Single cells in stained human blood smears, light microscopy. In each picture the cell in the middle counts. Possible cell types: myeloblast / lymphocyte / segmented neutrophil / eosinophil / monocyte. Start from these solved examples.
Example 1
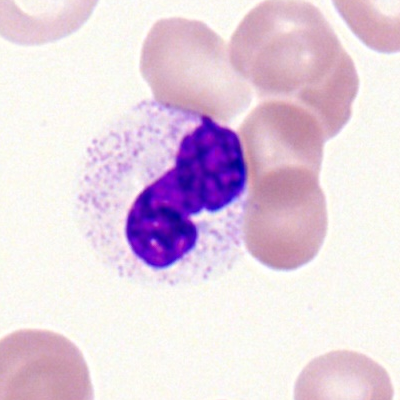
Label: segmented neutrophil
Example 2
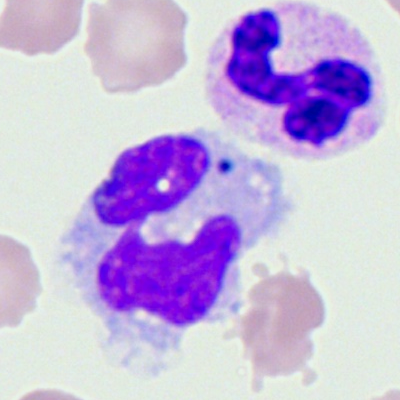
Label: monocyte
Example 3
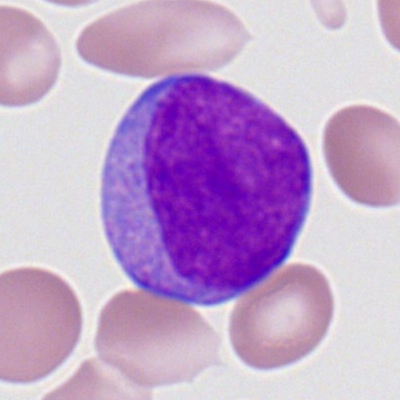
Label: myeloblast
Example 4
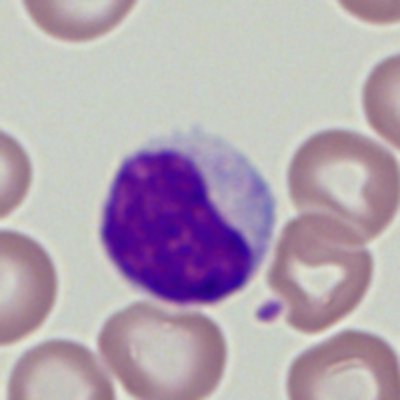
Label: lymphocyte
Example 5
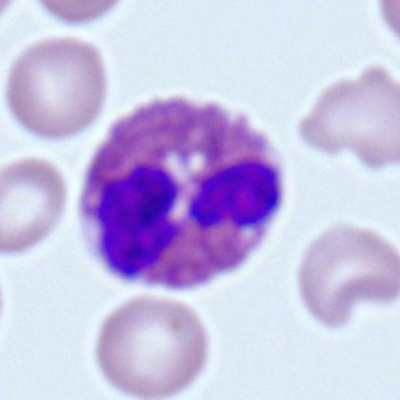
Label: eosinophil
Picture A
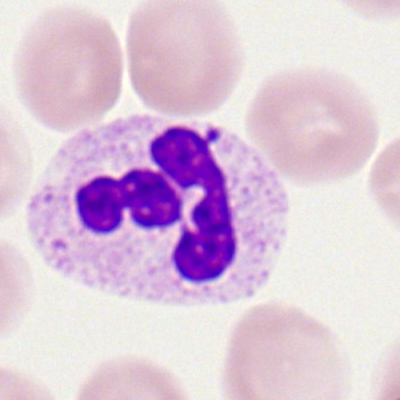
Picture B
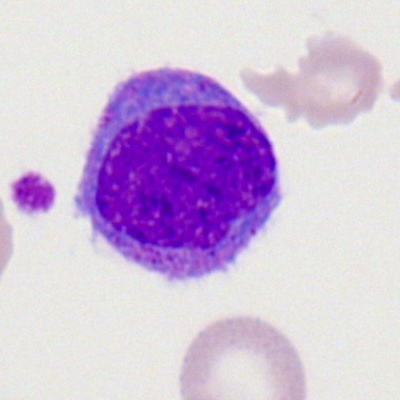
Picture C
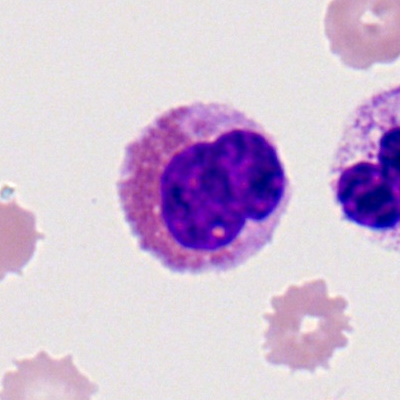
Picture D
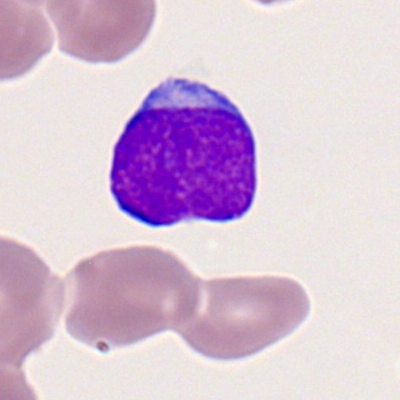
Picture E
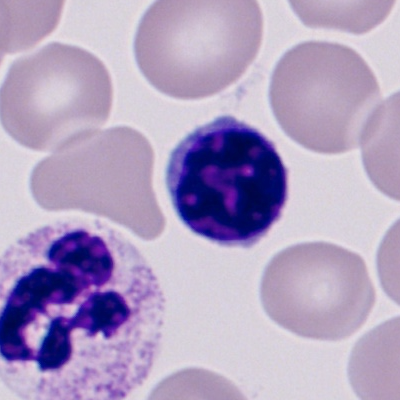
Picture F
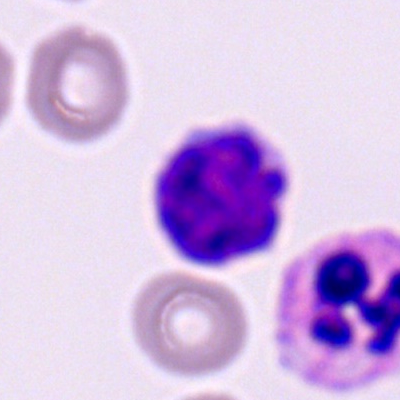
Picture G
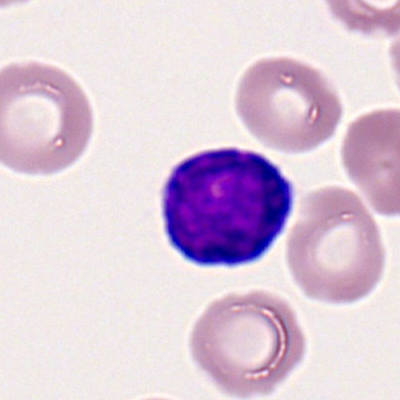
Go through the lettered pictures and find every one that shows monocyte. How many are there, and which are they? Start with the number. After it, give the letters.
1, namely B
